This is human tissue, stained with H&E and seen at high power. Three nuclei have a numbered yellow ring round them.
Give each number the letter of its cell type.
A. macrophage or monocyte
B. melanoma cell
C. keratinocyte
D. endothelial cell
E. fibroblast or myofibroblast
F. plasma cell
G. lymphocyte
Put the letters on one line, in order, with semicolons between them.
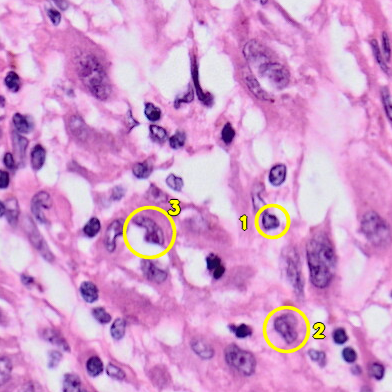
G; A; B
